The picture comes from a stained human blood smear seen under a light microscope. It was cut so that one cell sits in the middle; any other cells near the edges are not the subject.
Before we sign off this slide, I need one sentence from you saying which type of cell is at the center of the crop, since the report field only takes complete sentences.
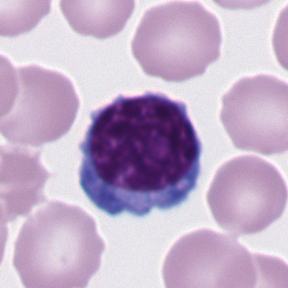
This crop is built around a typical lymphocyte at its centre.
